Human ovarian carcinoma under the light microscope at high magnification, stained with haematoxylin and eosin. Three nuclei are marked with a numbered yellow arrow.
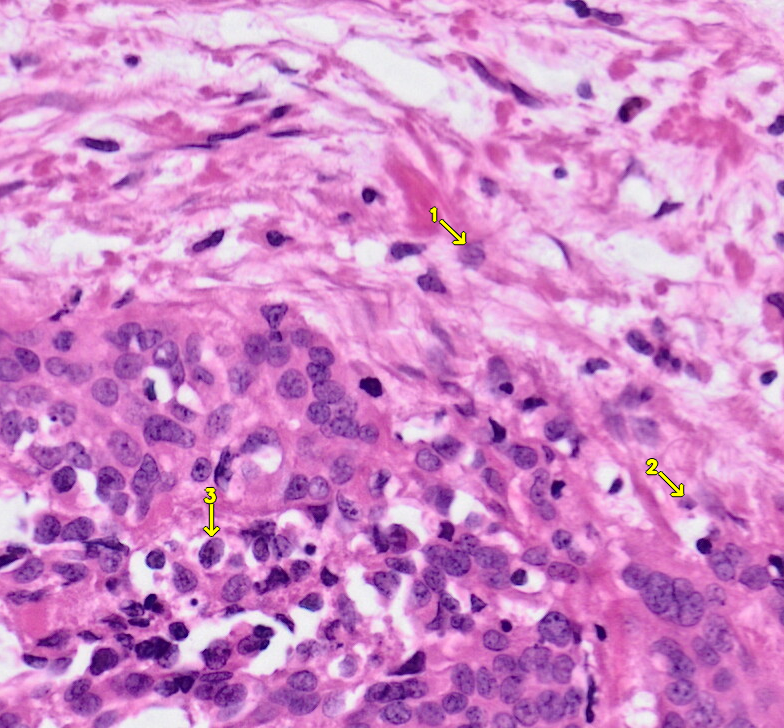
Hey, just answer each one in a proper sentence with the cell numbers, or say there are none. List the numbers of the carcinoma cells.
Just one numbered cell is a carcinoma cell, and that cell is number 3.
